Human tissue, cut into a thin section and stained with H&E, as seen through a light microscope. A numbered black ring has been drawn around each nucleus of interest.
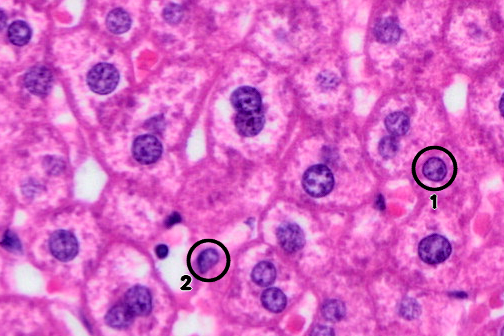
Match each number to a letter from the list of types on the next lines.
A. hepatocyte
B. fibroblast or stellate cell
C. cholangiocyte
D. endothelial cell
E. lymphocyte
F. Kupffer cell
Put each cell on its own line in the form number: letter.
1: A
2: F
